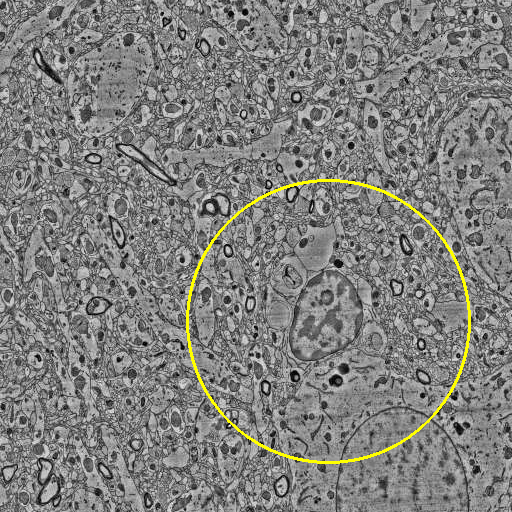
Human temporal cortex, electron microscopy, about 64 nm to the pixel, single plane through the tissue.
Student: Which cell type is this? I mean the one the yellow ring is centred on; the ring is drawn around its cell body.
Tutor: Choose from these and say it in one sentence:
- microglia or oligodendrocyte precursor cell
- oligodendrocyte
The cell the ring is centred on is a microglial cell or oligodendrocyte precursor cell.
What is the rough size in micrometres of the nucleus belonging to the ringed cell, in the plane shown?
Roughly 6 by 4 micrometres is the size of the nucleus in this plane.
